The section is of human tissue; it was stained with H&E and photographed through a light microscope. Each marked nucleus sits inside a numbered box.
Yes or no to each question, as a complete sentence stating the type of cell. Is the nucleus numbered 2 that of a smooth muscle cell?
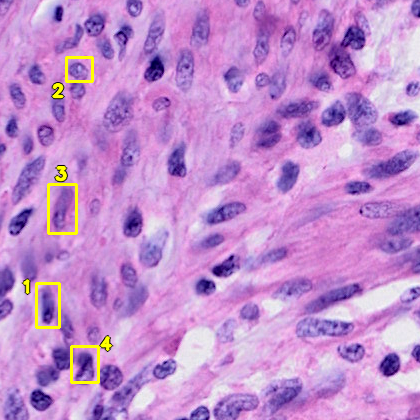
Yes, the cell distinguished by number 2 is a smooth muscle cell.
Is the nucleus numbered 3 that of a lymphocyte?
No, the cell given the number 3 is a smooth muscle cell, so not a lymphocyte.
